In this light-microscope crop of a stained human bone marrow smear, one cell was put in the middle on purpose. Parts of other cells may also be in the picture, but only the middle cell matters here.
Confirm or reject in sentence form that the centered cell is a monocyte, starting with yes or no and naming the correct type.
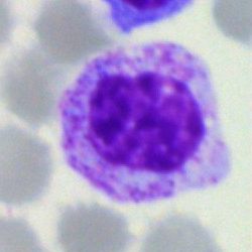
No, this one is a myelocyte; it is not a monocyte.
